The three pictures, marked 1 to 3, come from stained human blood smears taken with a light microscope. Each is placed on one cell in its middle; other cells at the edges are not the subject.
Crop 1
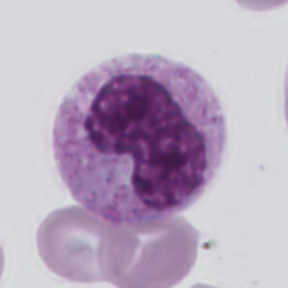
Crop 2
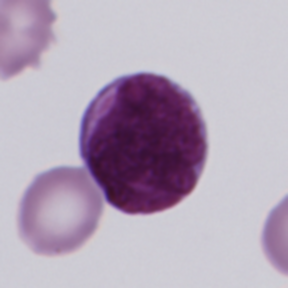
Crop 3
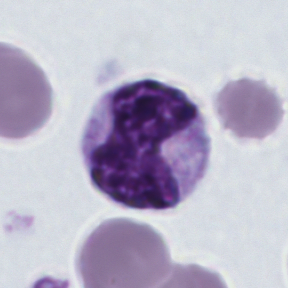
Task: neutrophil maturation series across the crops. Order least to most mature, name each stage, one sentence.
Ordered from the youngest stage to the most mature, the crops are crop 2 (a myeloblast), crop 1 (a metamyelocyte) and crop 3 (a band neutrophil).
